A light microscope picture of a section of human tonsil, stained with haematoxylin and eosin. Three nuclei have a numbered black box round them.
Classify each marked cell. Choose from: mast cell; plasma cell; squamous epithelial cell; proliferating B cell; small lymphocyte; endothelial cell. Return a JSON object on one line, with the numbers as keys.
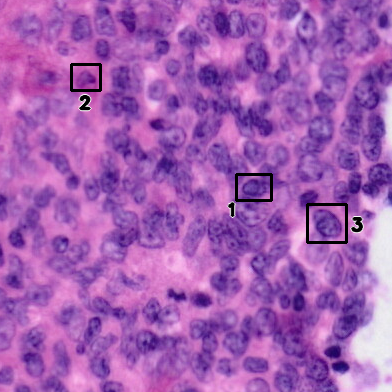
{"1": "proliferating B cell", "2": "endothelial cell", "3": "proliferating B cell"}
